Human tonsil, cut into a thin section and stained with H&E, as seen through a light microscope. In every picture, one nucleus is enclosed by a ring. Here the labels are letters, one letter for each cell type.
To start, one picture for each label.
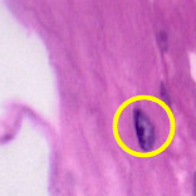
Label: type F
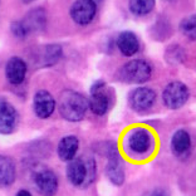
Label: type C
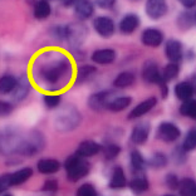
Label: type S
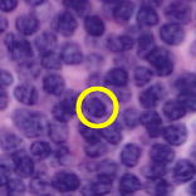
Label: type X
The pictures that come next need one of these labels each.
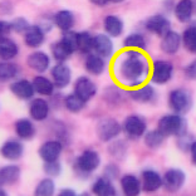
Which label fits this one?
type X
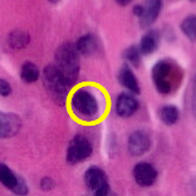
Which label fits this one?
type C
